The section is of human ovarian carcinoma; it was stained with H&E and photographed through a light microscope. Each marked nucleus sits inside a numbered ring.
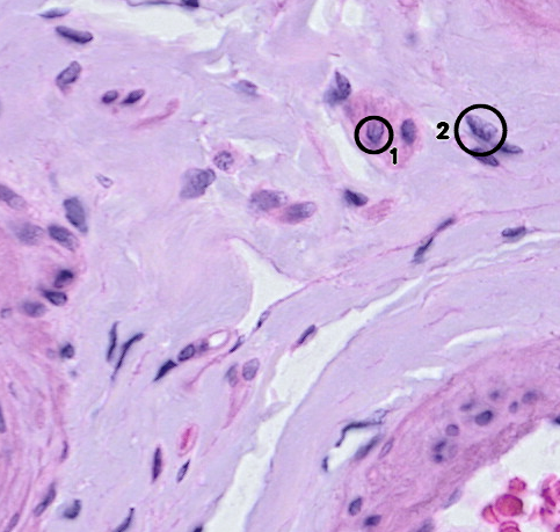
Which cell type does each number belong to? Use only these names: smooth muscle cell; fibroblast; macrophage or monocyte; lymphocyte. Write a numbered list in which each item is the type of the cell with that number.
1. smooth muscle cell
2. fibroblast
